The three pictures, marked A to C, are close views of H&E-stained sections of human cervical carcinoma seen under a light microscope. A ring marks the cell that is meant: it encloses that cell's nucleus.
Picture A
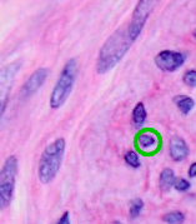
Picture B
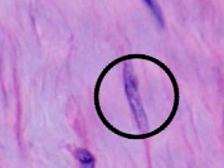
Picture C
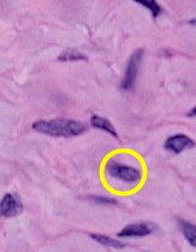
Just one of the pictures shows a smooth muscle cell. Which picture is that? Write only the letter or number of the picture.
A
